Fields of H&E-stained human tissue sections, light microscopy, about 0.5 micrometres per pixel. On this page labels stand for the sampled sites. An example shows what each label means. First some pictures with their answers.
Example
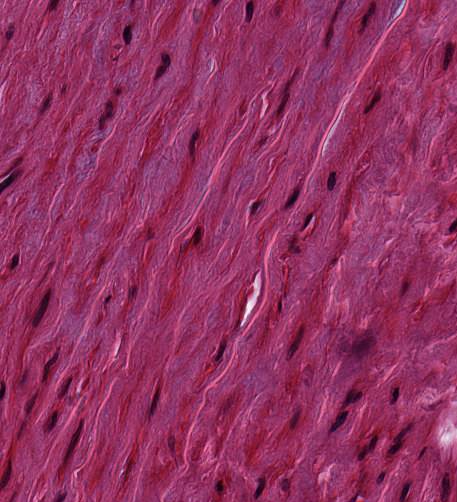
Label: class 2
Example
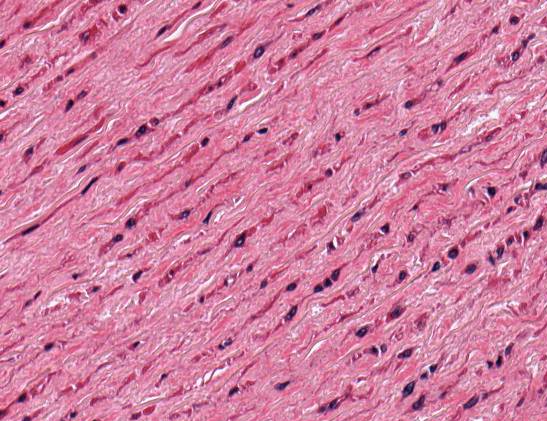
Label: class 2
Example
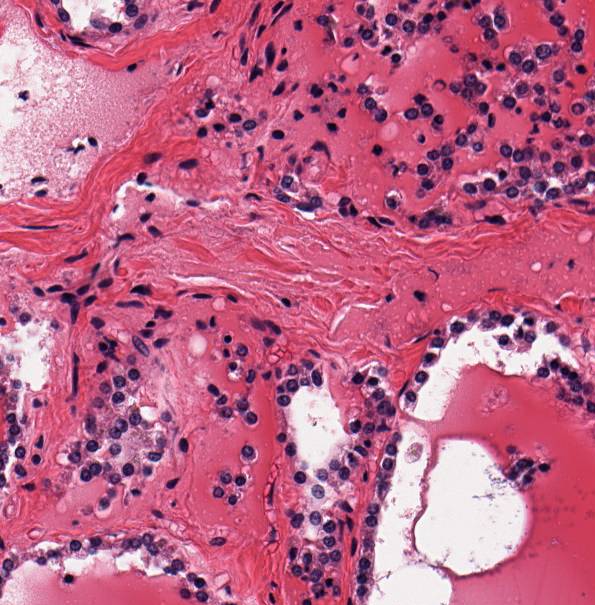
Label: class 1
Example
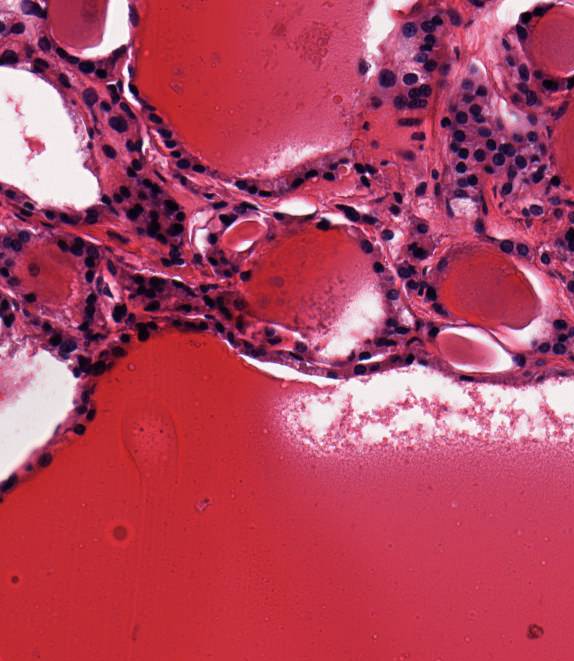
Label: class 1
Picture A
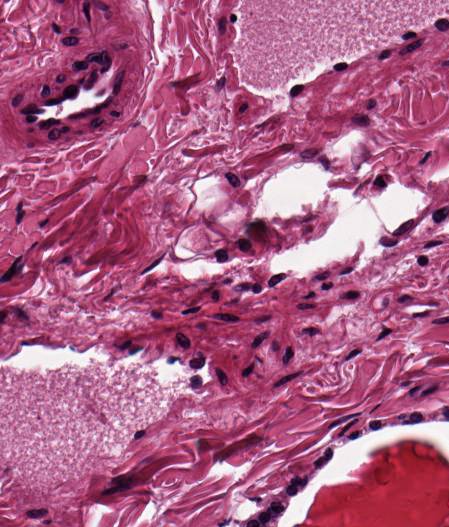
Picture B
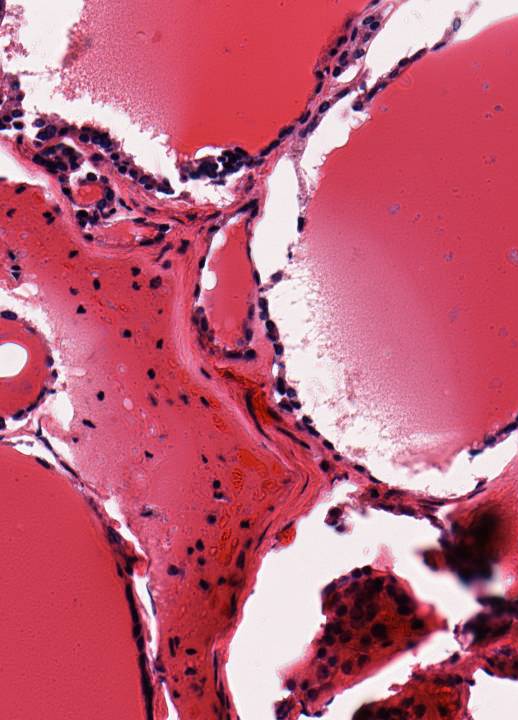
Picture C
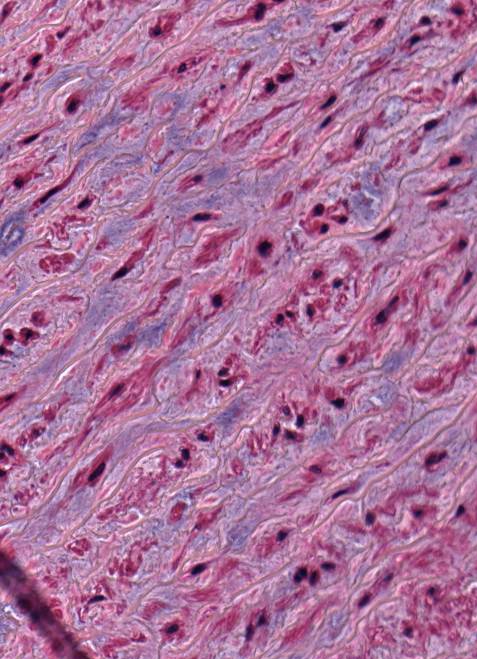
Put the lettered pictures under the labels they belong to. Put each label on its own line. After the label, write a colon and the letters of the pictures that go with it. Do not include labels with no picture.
class 2: C
class 1: A, B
